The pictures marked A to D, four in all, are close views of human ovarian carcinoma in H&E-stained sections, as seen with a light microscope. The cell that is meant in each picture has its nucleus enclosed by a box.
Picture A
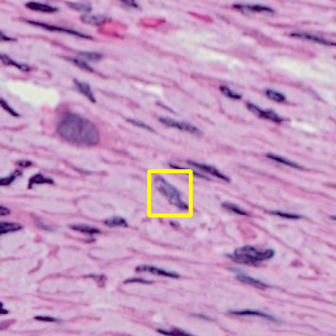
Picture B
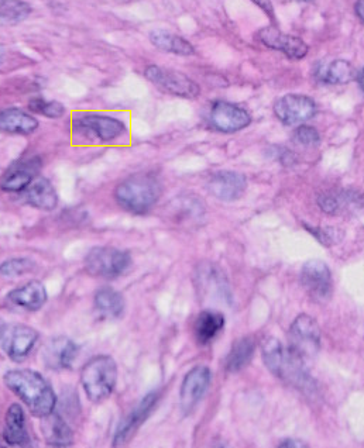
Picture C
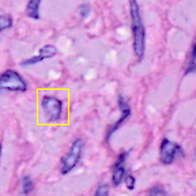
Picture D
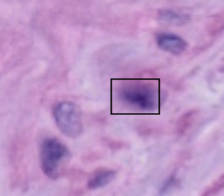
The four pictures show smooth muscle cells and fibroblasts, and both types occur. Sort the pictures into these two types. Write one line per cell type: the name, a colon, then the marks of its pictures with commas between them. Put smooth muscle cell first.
smooth muscle cell: D
fibroblast: A, B, C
